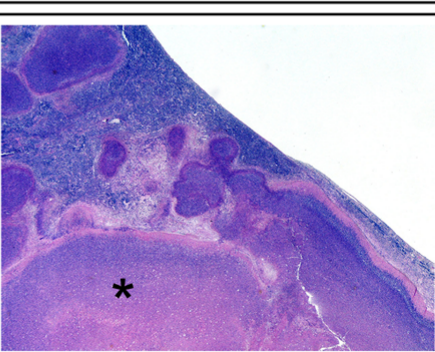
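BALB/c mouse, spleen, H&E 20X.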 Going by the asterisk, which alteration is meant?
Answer: Necrosis.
